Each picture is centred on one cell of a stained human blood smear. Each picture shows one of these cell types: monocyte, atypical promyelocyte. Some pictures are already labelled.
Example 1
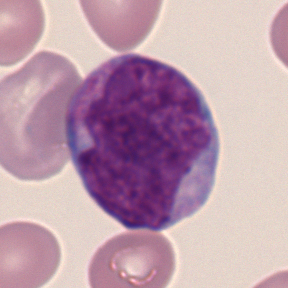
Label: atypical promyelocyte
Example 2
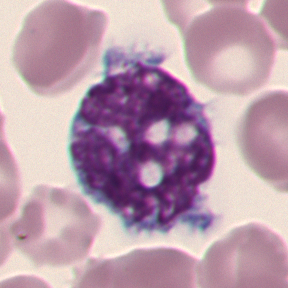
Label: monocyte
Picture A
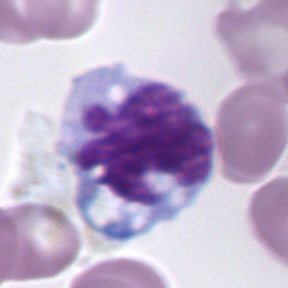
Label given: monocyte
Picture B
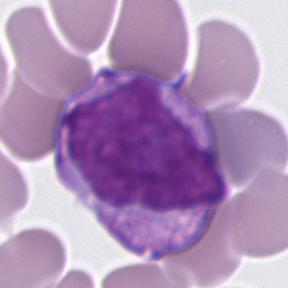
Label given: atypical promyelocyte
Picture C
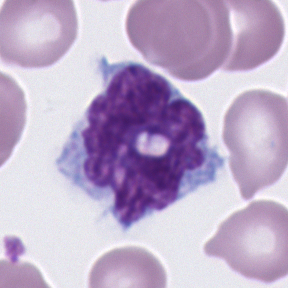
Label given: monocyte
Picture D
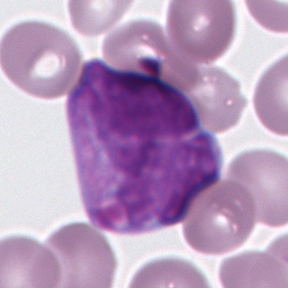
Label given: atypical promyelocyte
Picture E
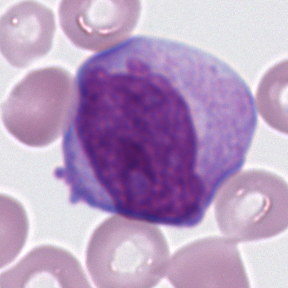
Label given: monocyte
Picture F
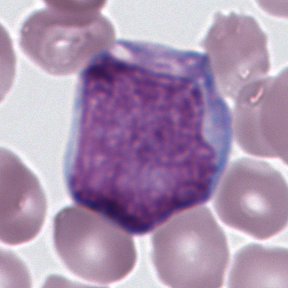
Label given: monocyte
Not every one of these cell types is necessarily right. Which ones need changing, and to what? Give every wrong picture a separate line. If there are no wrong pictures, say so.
Wrong: E (monocyte); correct: atypical promyelocyte
Wrong: F (monocyte); correct: atypical promyelocyte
